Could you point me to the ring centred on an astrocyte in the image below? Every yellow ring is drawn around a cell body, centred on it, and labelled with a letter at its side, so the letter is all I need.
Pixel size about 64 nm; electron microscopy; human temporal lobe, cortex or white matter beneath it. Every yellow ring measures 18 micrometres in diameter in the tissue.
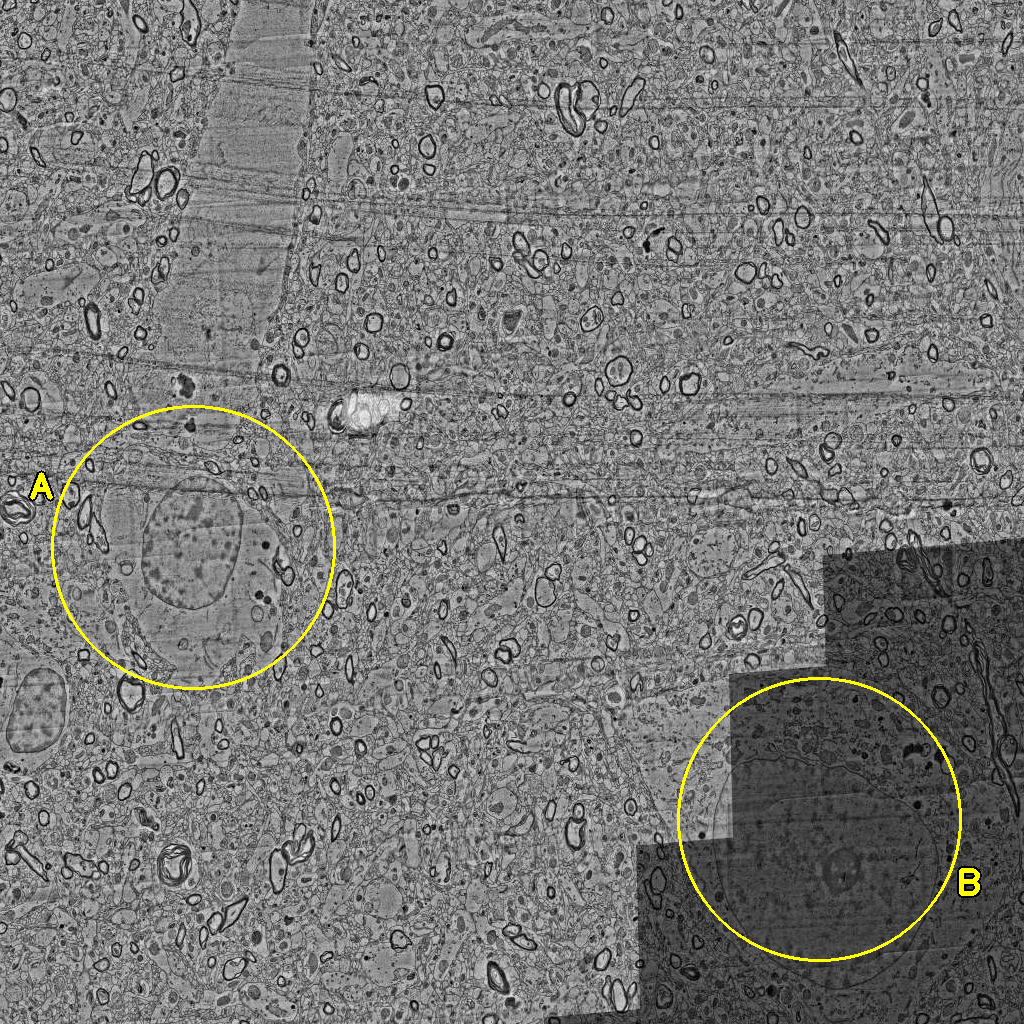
A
